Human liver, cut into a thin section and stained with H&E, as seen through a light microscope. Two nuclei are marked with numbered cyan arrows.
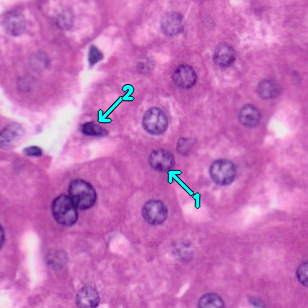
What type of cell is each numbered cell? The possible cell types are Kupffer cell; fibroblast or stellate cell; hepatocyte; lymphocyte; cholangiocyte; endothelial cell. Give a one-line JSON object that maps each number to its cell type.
{"1": "hepatocyte", "2": "fibroblast or stellate cell"}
